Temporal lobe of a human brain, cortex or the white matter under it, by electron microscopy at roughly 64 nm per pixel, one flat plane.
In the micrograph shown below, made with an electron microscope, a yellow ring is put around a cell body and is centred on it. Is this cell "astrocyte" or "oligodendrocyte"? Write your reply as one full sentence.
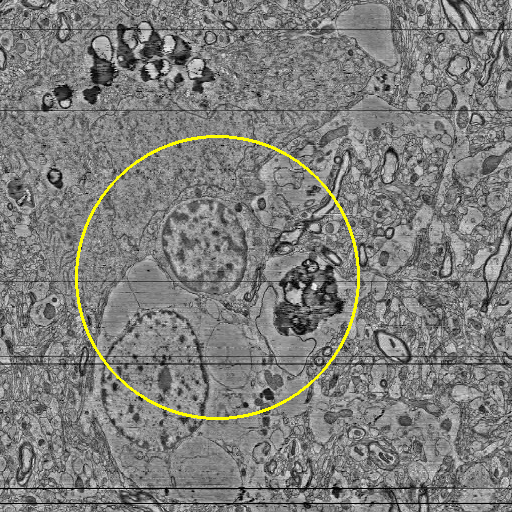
In the micrograph, an oligodendrocyte is the cell at the centre of the yellow ring.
